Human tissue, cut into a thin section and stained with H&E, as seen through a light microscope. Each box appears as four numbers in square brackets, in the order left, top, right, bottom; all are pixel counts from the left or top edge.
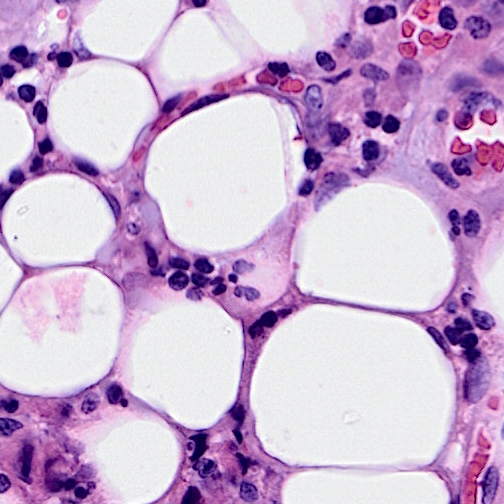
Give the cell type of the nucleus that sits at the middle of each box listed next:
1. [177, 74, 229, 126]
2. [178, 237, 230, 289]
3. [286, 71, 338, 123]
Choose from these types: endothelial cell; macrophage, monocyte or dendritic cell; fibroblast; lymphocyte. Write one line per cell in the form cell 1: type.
cell 1: endothelial cell
cell 2: lymphocyte
cell 3: endothelial cell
